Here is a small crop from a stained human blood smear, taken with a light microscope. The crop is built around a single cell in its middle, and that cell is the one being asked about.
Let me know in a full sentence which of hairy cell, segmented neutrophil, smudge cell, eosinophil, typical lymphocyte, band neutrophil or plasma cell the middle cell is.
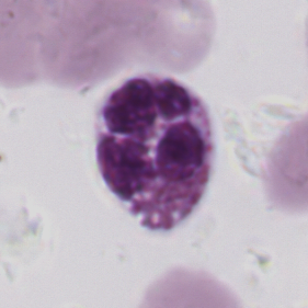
Where the crop is centred, there is an eosinophil.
